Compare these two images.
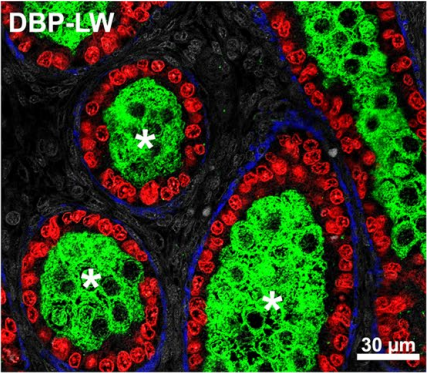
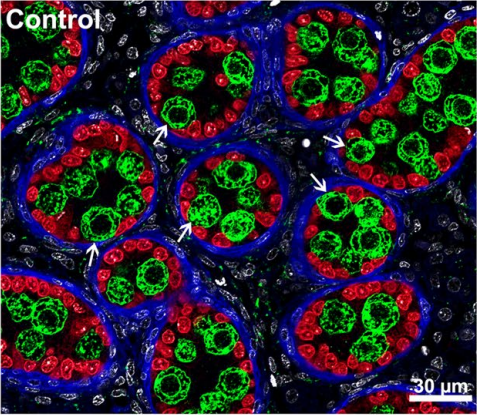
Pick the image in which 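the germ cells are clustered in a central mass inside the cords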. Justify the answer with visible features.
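First image: green cells form large compact central masses ringed by red nuclei. Second image: green cells are scattered singly within the cords, some reaching the outer edge. That points to this answer: the first image.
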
